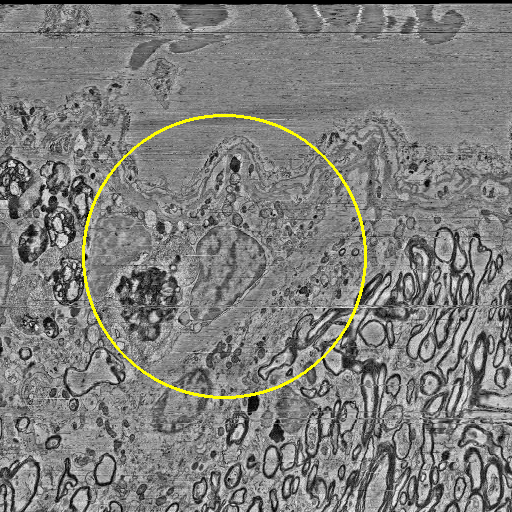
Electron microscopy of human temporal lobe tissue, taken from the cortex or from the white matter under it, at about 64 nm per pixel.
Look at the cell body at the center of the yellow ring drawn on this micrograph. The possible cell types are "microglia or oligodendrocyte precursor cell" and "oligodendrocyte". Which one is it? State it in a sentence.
The cell in the middle of the ring is a microglial cell or oligodendrocyte precursor cell.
